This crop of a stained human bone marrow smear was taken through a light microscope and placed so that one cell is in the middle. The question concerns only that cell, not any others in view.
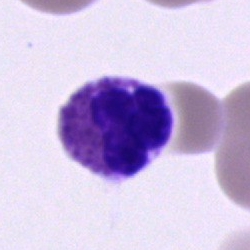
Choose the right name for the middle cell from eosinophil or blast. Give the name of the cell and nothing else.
eosinophil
